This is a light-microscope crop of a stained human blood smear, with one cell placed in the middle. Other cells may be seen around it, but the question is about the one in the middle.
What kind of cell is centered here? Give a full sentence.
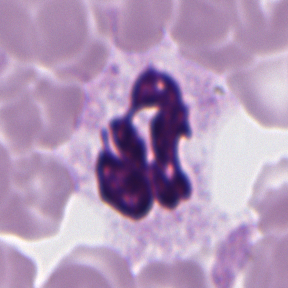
The crop centres on a single cell, and that cell is a neutrophil.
